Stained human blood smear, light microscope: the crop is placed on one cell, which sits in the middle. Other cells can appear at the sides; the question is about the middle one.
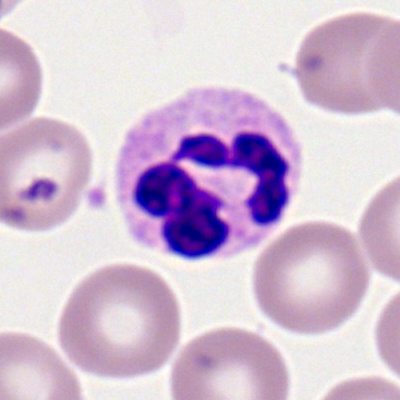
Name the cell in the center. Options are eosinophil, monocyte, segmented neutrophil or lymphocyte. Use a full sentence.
The cell the crop is centered on is a segmented neutrophil.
